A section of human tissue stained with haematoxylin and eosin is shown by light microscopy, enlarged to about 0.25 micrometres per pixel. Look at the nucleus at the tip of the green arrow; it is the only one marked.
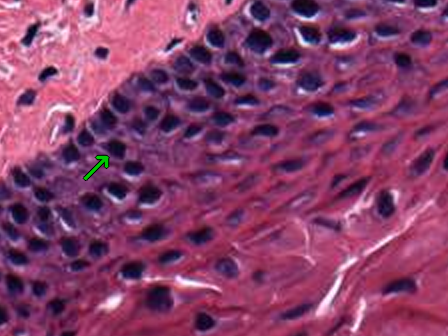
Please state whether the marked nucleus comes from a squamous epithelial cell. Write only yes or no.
yes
